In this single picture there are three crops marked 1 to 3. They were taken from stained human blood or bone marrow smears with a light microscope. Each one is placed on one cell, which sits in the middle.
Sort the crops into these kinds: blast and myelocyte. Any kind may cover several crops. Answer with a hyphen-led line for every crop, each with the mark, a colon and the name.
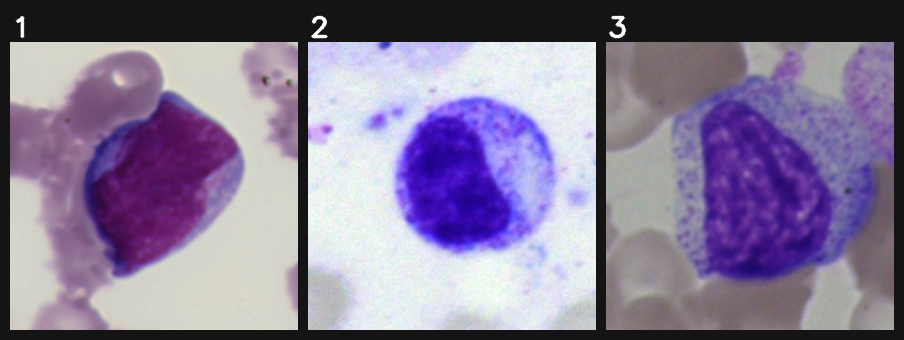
- 1: blast
- 2: myelocyte
- 3: myelocyte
